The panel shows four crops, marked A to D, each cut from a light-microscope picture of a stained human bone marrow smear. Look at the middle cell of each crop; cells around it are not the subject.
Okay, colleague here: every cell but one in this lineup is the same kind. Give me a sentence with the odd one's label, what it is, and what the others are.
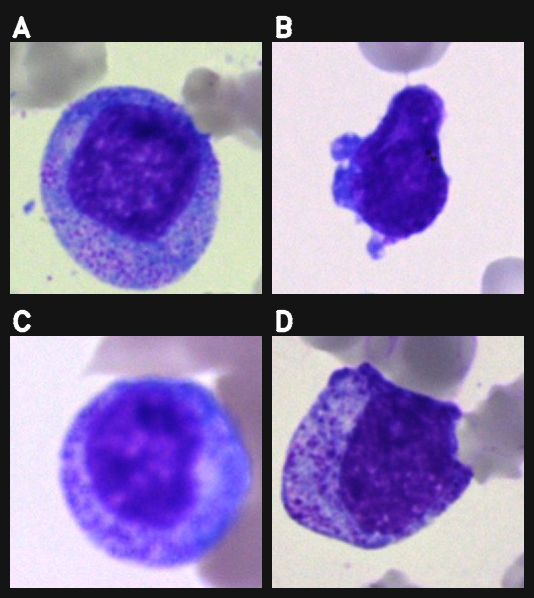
In contrast to the other crops, all of which show promyelocytes, crop B shows a blast.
